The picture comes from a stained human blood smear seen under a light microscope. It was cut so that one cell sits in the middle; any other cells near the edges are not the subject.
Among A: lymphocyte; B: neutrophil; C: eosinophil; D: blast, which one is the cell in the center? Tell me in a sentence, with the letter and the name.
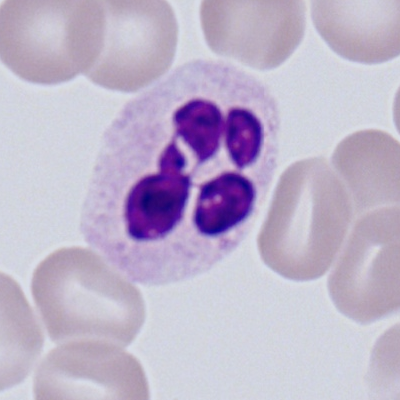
The centrally positioned cell is a neutrophil, consistent with option B, which is correct.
